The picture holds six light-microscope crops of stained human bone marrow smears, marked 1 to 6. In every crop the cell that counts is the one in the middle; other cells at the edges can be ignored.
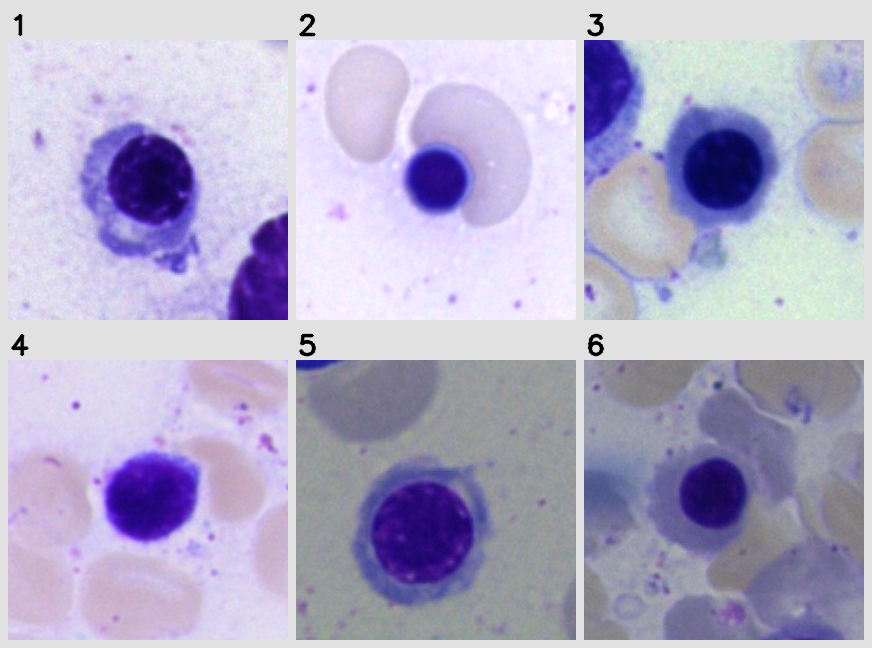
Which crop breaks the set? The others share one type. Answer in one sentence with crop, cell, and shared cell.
Crop 4 contains a lymphocyte, setting it apart from the other crops, which all contain normoblasts.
